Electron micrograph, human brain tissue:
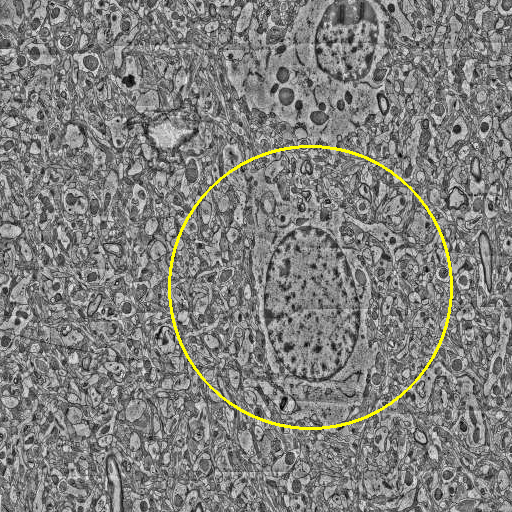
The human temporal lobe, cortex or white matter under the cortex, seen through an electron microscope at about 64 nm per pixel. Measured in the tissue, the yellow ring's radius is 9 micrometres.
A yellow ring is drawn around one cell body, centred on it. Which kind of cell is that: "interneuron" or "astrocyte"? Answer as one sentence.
It is an astrocyte at the centre of the ring.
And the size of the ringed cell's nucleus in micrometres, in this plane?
About 10 by 6 micrometres in this plane; clearly longer than it is wide.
